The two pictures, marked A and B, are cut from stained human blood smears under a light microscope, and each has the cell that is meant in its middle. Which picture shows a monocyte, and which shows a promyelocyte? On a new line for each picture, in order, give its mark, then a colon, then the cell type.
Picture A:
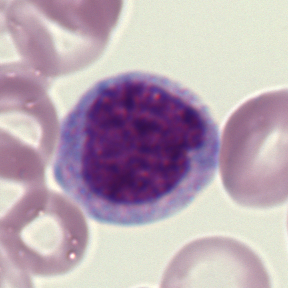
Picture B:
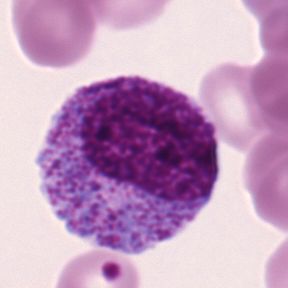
A: monocyte
B: promyelocyte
